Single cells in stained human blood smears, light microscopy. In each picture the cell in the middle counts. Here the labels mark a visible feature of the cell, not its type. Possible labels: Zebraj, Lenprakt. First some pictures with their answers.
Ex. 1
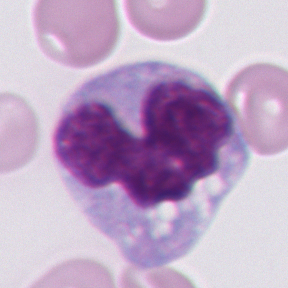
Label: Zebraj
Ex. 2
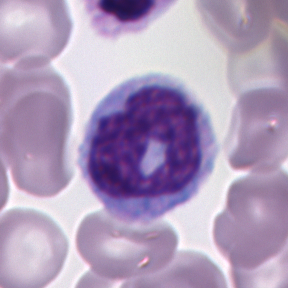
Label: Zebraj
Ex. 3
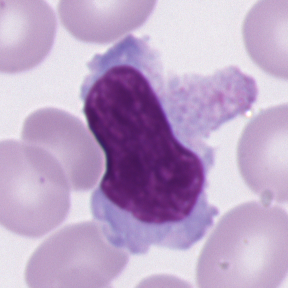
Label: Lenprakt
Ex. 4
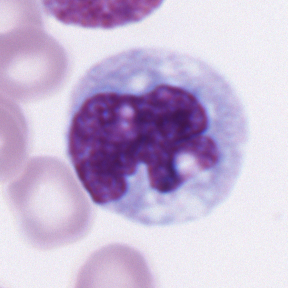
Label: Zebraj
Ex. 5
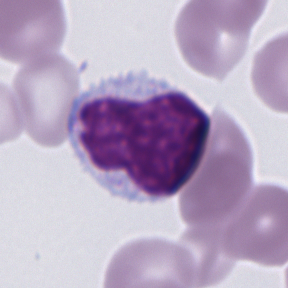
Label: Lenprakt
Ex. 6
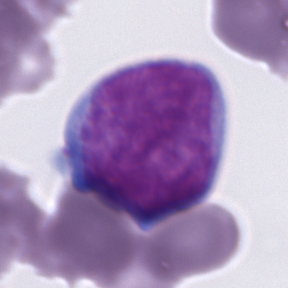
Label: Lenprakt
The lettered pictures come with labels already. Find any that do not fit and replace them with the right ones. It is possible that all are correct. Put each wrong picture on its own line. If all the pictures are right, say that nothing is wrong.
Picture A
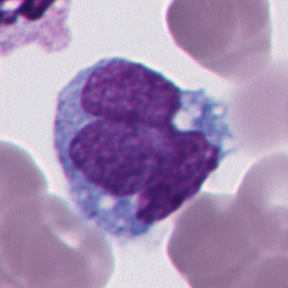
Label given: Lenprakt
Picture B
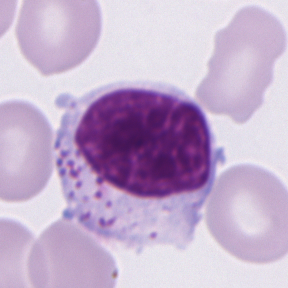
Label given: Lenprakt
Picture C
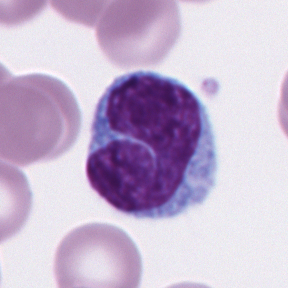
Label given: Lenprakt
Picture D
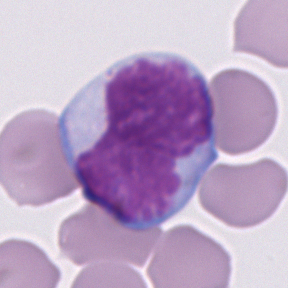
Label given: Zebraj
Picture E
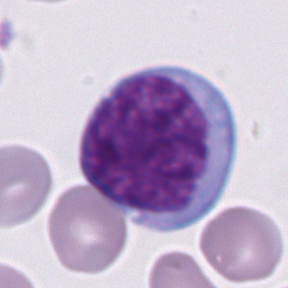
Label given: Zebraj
Wrong: C (Lenprakt); correct: Zebraj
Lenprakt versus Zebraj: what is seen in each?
Lenprakt: ragged outline or projections; Zebraj: smooth outline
